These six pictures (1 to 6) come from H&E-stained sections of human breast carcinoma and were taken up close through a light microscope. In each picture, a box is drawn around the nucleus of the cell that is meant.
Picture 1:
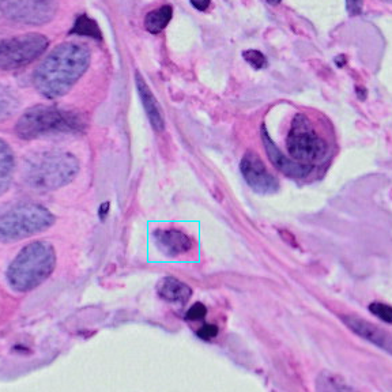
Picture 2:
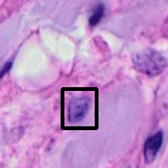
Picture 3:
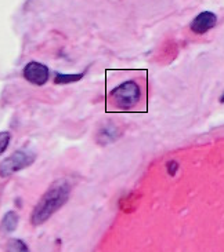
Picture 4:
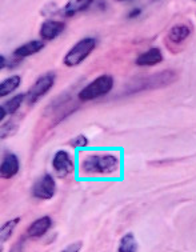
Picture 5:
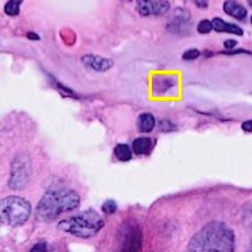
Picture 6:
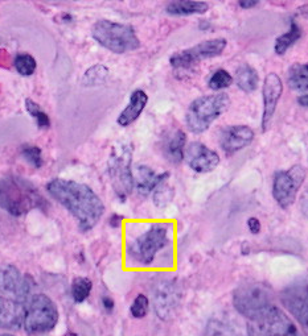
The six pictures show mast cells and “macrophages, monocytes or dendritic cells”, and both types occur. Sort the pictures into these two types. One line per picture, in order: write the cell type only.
macrophage, monocyte or dendritic cell
macrophage, monocyte or dendritic cell
mast cell
mast cell
mast cell
macrophage, monocyte or dendritic cell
